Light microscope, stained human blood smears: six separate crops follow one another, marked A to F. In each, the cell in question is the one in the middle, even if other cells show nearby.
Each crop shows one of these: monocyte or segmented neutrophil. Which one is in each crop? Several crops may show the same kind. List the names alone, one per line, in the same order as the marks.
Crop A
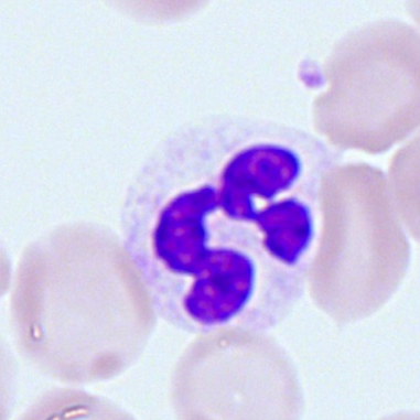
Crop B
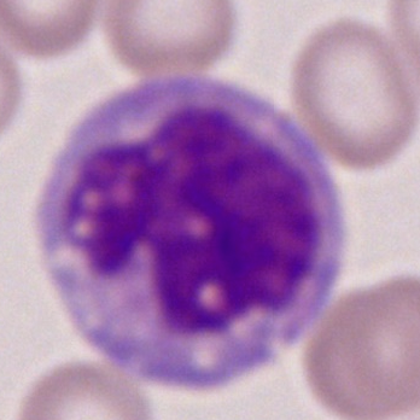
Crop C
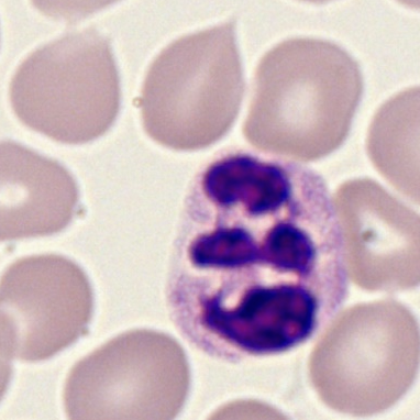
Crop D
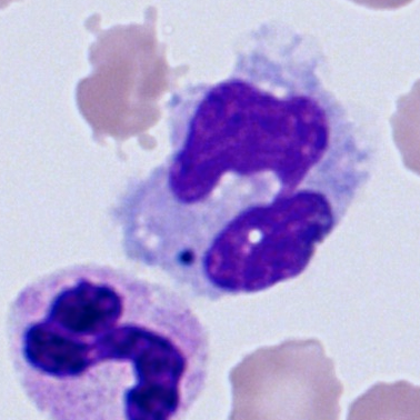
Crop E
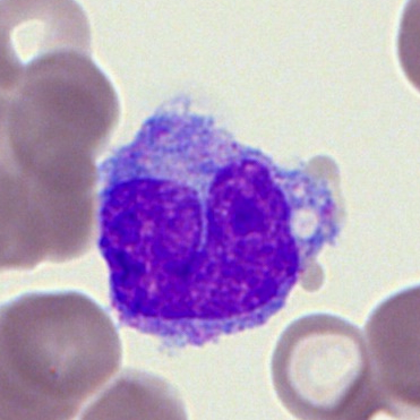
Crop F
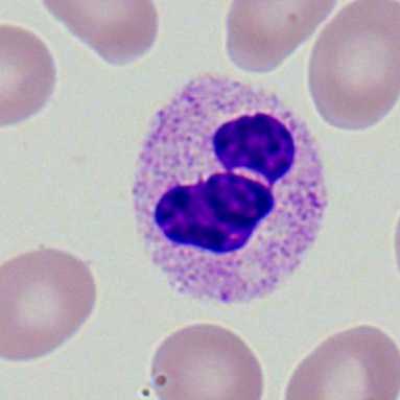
segmented neutrophil
monocyte
segmented neutrophil
monocyte
monocyte
segmented neutrophil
